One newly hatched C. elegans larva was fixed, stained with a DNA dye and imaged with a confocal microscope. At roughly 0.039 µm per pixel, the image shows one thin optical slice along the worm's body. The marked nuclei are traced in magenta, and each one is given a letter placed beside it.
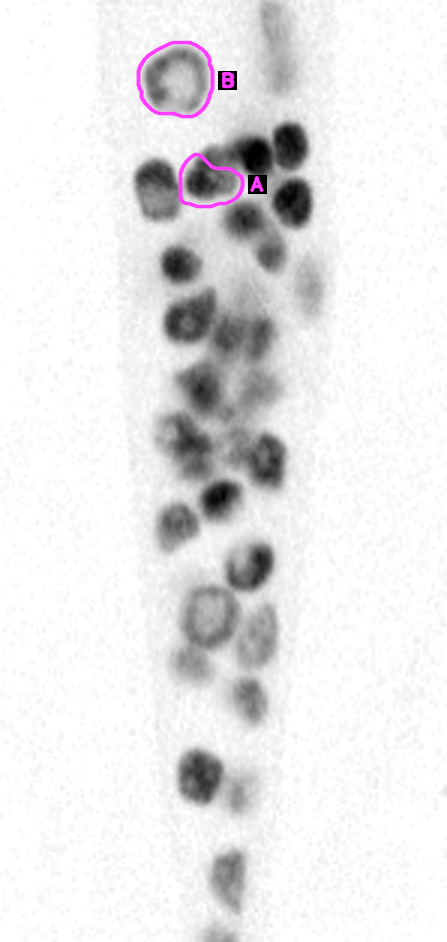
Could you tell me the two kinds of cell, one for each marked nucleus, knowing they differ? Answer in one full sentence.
A is from a valve cell of the gut, and B is from an intestinal cell.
